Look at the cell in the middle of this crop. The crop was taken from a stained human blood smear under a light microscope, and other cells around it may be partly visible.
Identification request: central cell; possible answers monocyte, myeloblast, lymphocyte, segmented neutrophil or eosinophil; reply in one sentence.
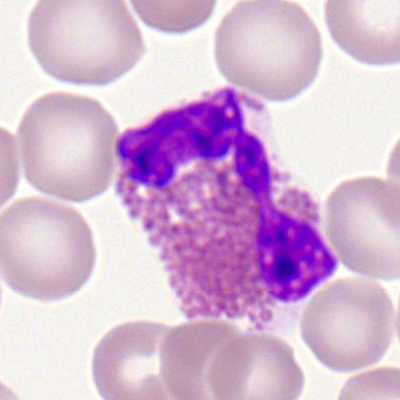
In the middle of this smear crop, the cell is an eosinophil.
